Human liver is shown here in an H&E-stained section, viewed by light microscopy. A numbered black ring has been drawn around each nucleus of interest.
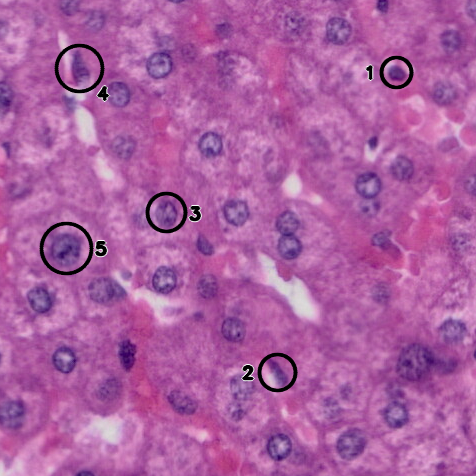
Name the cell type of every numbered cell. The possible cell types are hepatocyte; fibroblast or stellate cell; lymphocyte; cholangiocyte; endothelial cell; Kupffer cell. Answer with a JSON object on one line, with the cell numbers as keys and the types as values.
{"1": "lymphocyte", "2": "endothelial cell", "3": "hepatocyte", "4": "Kupffer cell", "5": "hepatocyte"}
